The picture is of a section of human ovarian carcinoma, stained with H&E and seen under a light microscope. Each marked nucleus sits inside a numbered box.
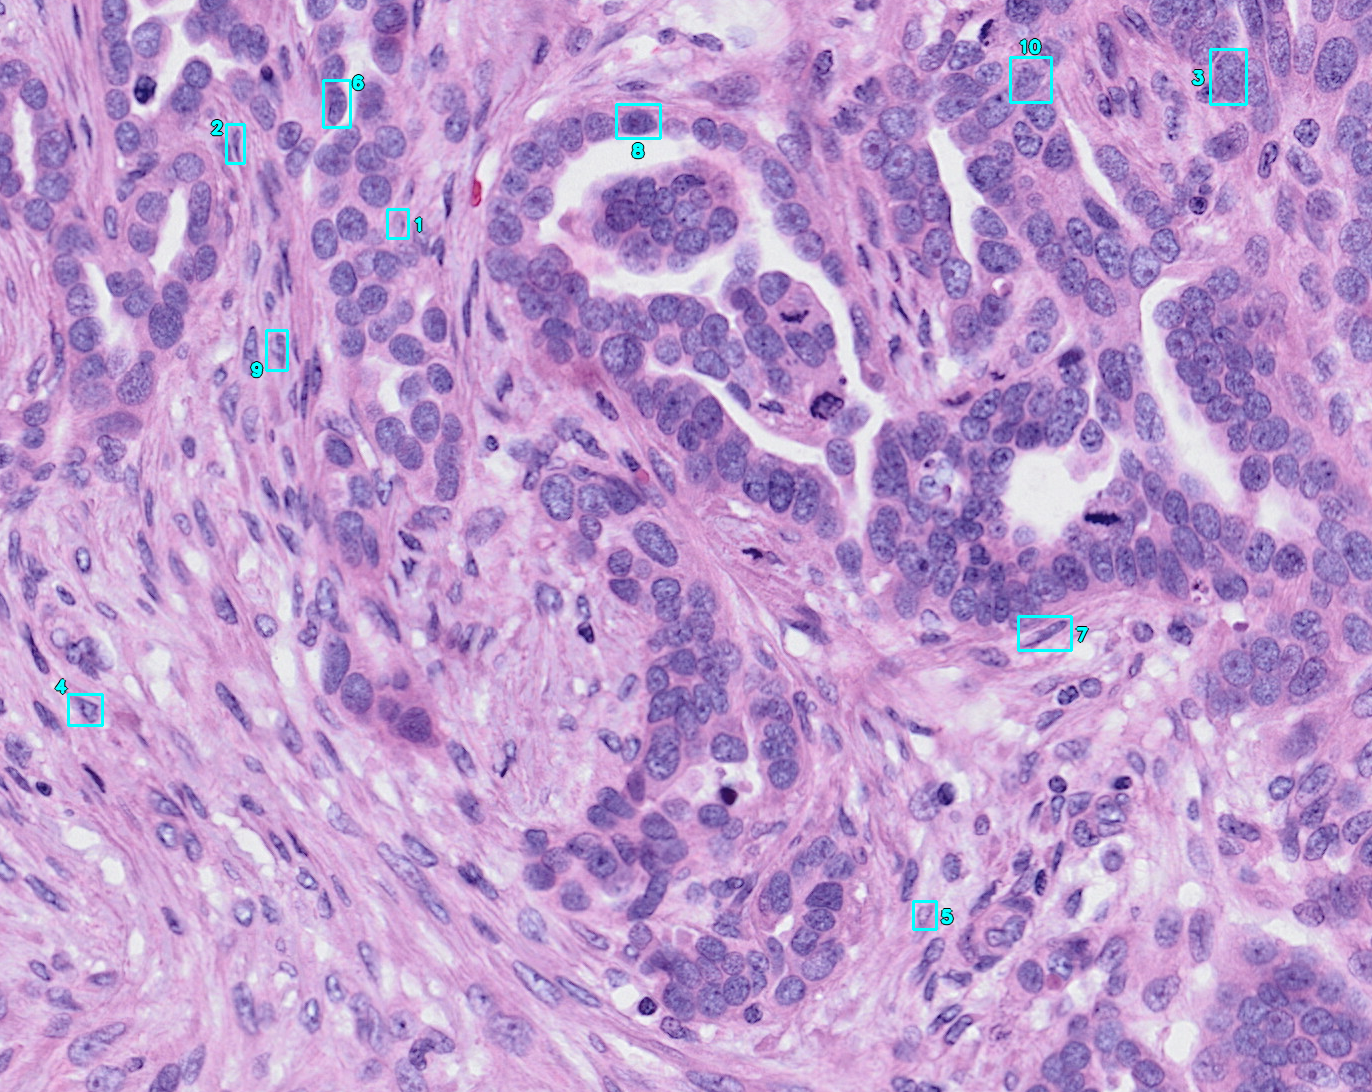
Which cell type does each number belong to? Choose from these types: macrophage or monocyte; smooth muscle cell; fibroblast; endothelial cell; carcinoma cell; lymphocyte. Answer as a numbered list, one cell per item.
1. fibroblast
2. fibroblast
3. carcinoma cell
4. fibroblast
5. fibroblast
6. carcinoma cell
7. fibroblast
8. carcinoma cell
9. fibroblast
10. carcinoma cell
